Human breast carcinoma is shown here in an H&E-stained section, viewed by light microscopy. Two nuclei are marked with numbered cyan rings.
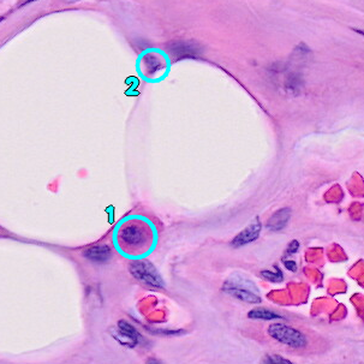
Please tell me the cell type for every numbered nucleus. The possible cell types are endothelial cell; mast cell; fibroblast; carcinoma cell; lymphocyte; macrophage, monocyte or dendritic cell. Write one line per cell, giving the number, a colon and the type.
1: mast cell
2: fibroblast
